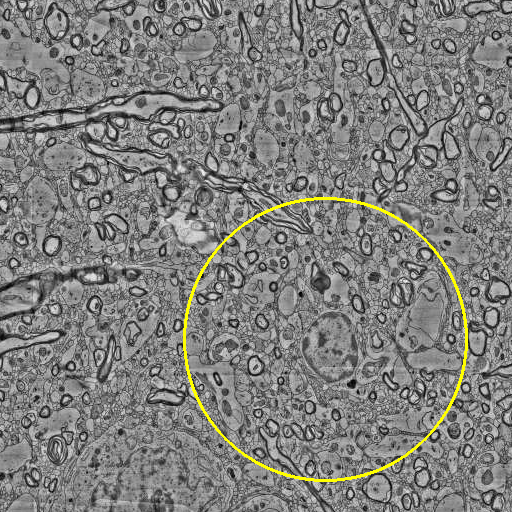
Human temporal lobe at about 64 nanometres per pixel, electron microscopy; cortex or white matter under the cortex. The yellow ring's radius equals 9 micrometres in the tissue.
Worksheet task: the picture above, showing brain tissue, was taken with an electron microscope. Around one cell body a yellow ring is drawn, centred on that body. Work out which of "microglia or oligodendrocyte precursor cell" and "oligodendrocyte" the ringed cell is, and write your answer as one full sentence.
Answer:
It is a microglial cell or oligodendrocyte precursor cell whose cell body lies at the centre of the yellow ring.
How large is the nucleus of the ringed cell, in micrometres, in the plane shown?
About 4 by 3 micrometres in this plane.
